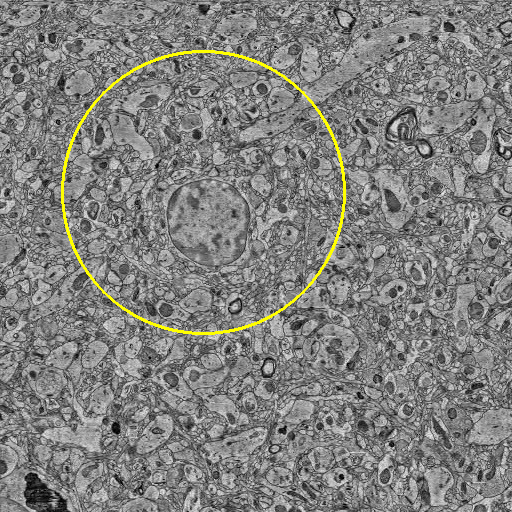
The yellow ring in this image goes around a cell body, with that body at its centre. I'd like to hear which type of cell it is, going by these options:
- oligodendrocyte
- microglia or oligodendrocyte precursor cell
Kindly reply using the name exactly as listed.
microglia or oligodendrocyte precursor cell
